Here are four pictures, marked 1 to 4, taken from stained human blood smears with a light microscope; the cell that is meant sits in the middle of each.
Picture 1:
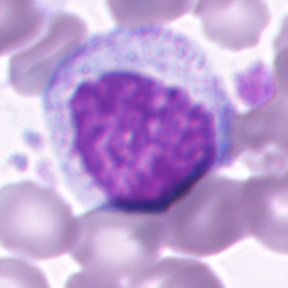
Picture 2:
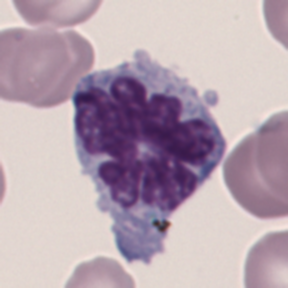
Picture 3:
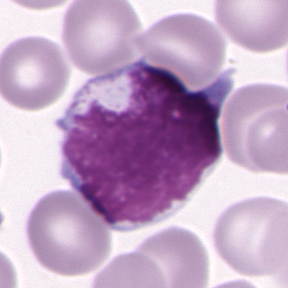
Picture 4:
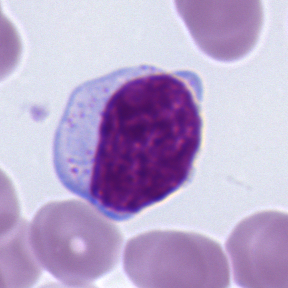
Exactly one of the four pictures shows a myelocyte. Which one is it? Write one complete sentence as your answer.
The cell in picture 1 is the myelocyte.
